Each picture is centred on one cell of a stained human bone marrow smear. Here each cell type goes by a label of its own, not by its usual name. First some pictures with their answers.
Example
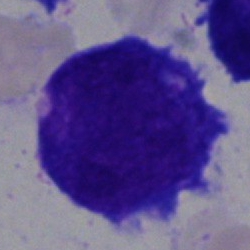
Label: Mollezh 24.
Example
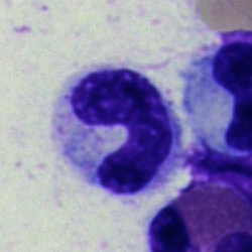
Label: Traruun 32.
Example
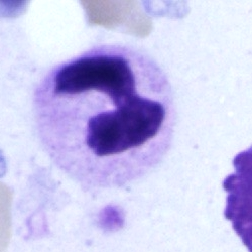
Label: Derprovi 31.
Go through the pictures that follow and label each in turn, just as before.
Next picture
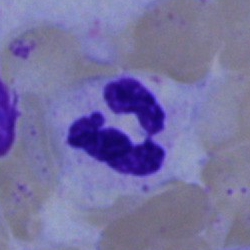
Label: Derprovi 31.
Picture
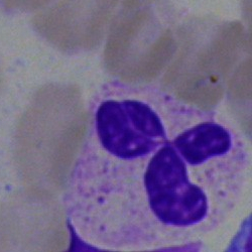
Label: Derprovi 31.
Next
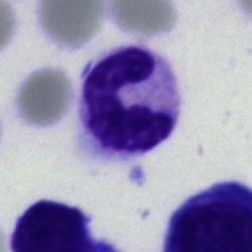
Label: Derprovi 31.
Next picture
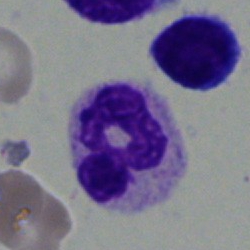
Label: Derprovi 31.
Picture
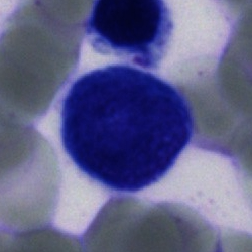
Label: Mollezh 24.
